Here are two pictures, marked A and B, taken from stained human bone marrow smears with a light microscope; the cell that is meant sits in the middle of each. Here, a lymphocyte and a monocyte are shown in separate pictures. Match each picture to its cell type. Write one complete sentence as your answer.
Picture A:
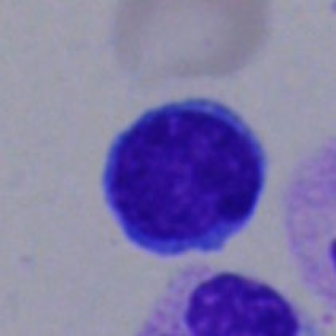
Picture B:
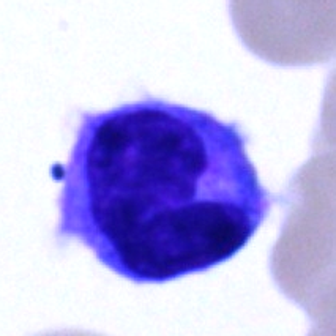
Picture B shows a monocyte, while picture A shows a lymphocyte.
